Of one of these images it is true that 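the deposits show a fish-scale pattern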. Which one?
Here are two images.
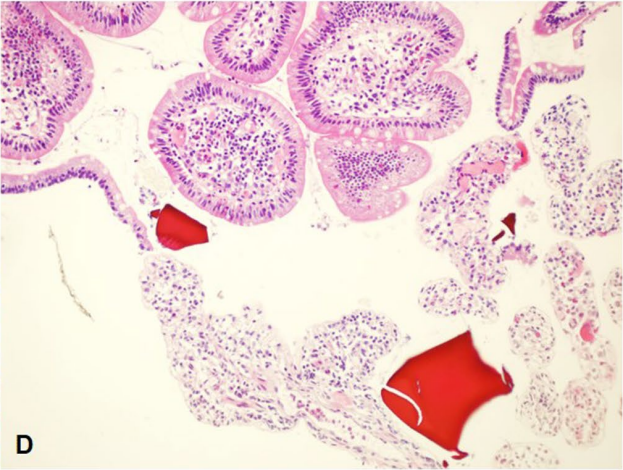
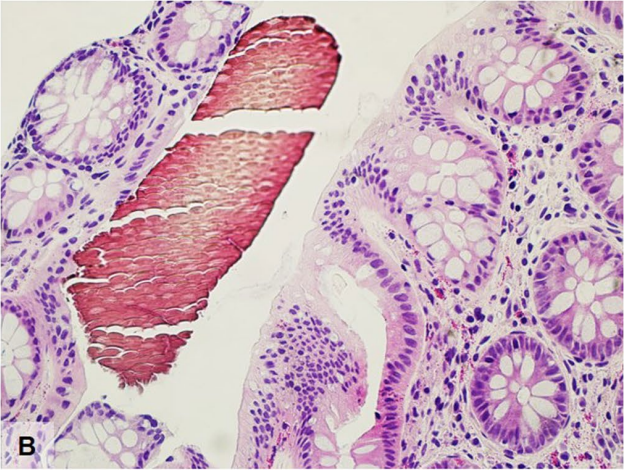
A: The second image.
